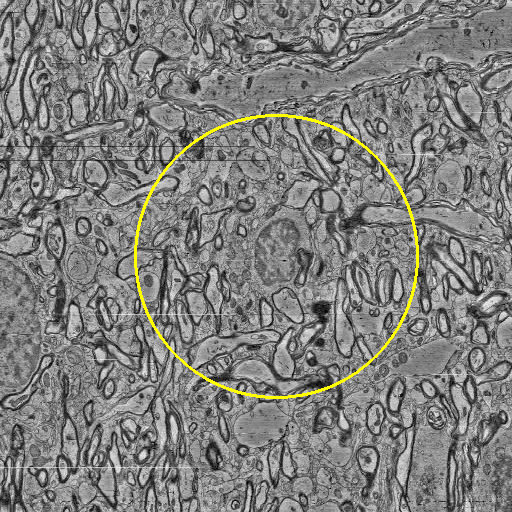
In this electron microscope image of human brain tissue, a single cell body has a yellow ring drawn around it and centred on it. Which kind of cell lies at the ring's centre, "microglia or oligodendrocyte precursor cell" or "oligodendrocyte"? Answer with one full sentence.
It is an oligodendrocyte whose cell body lies at the centre of the yellow ring here.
